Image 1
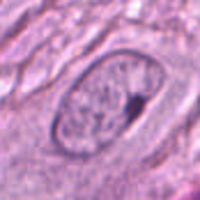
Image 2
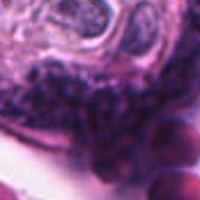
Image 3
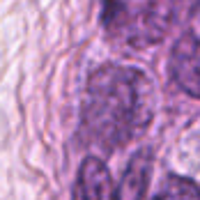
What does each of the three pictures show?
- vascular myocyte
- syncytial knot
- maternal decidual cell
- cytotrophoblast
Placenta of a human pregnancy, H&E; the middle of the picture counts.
Picture 1: maternal decidual cell
Picture 2: syncytial knot
Picture 3: cytotrophoblast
